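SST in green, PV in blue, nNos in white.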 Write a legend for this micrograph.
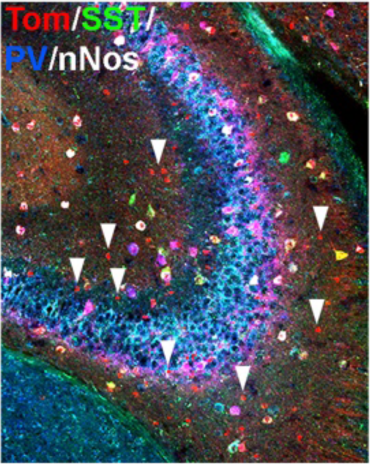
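Merged fluorescence view of the hippocampus showing a curved, densely packed band of cell bodies in blue and cyan running across the field. Scattered individual cell bodies in red, green, pink and white lie in the layers on either side of the band, and arrowheads point to small red cells among them.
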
